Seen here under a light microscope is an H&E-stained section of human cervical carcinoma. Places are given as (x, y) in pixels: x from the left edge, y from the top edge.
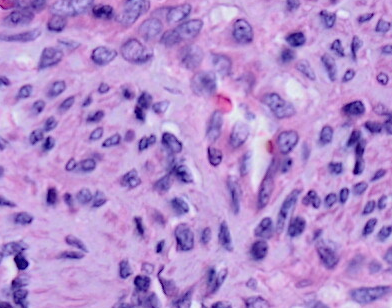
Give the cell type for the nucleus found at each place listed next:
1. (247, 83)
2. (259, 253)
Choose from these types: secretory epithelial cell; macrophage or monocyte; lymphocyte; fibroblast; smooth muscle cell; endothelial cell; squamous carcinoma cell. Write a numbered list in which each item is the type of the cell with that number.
1. endothelial cell
2. lymphocyte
